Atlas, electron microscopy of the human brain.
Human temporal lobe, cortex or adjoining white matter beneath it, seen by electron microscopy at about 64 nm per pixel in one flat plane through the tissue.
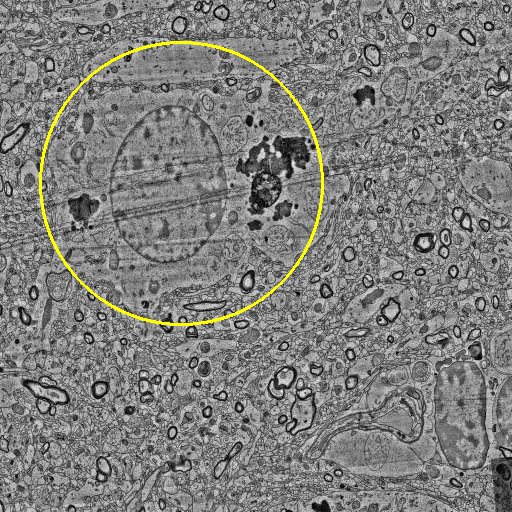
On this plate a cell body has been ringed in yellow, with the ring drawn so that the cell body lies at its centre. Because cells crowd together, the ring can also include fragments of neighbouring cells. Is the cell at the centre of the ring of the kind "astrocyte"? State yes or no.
Yes, it is of that kind.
